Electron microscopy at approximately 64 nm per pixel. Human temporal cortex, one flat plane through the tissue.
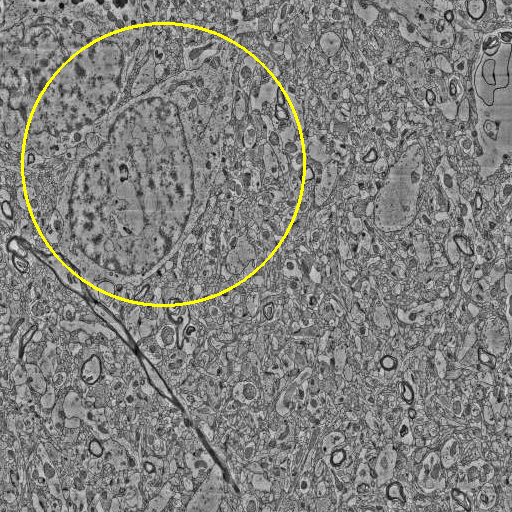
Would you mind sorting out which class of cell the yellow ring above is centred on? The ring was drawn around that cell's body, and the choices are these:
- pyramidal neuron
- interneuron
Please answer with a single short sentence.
This is the cell body of an interneuron.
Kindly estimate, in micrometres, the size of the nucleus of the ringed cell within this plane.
In this plane the nucleus measures roughly 11 by 8 micrometres.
